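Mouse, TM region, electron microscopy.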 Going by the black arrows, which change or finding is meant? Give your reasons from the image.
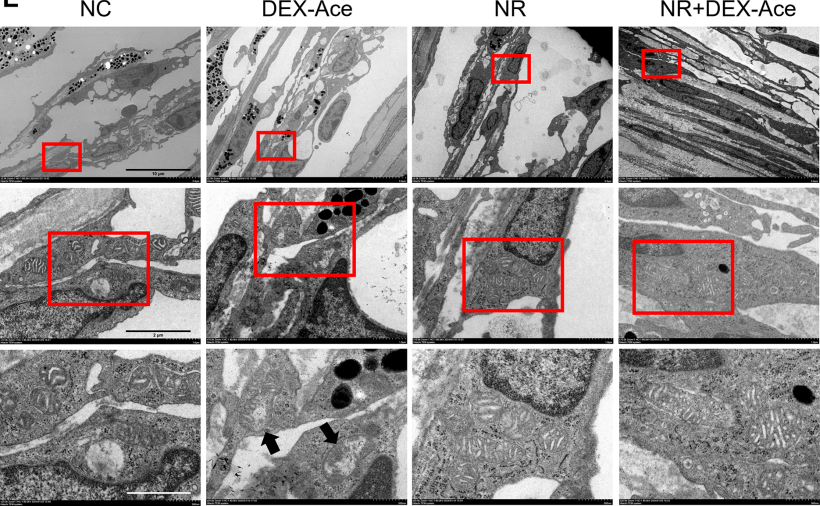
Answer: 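Damaged mitochondria. The black arrows point at membrane-bound organelles in the highest-magnification image of the second column. These organelles look pale and lack the regular internal folds seen in the other columns.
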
